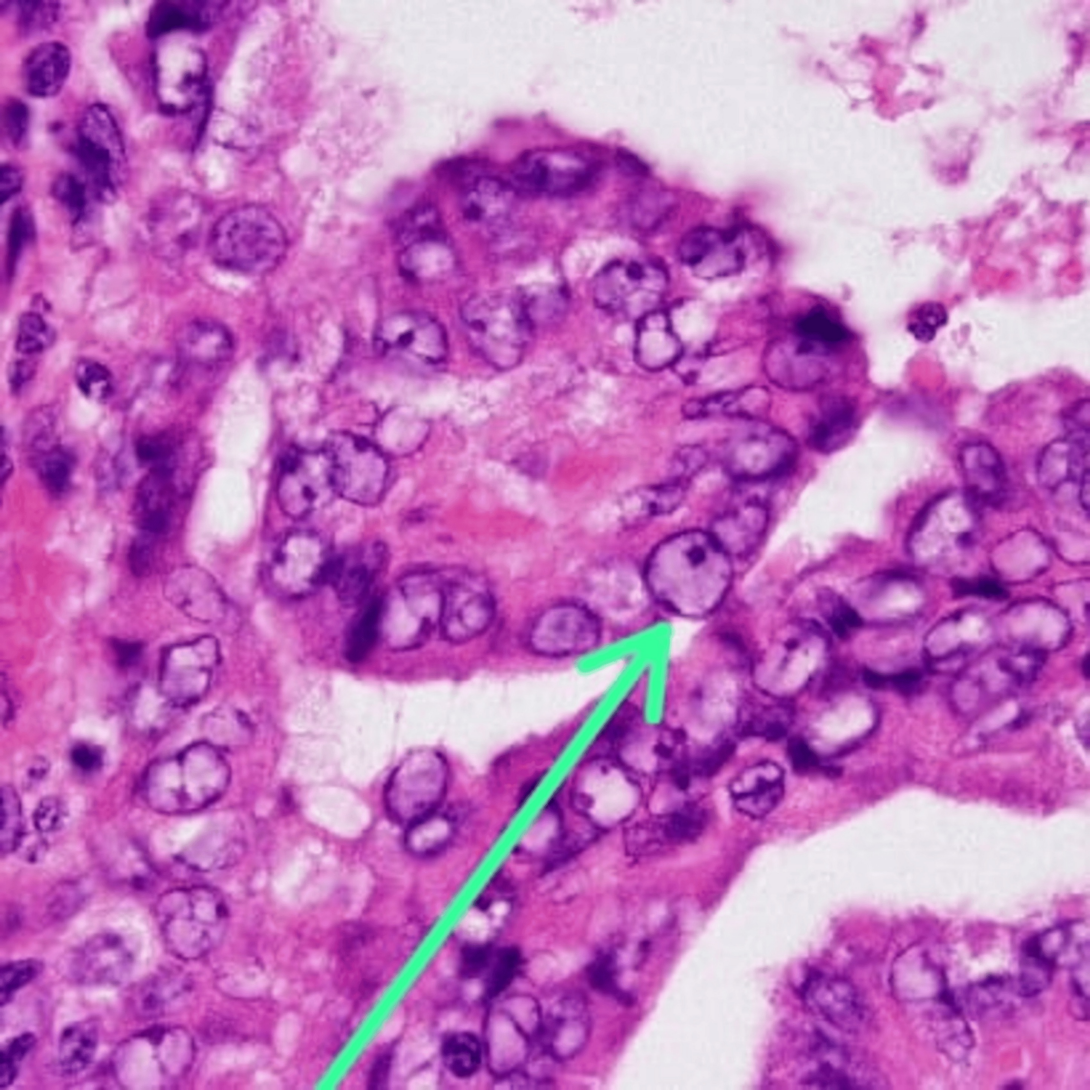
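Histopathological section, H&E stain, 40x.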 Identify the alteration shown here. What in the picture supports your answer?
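Papillary thyroid carcinoma. Epithelial cells line finger-like fronds that project into clear spaces. The fronds have a pink central core. The nuclei are enlarged, crowded and overlapping, and many have pale centres.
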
